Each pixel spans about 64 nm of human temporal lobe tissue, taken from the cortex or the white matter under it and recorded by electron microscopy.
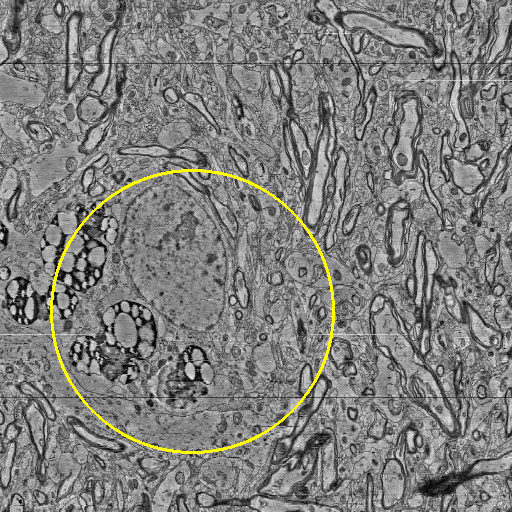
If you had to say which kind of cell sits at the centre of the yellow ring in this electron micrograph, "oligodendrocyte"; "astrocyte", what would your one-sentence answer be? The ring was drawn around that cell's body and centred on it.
The cell sitting at the centre of the ring is an astrocyte.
